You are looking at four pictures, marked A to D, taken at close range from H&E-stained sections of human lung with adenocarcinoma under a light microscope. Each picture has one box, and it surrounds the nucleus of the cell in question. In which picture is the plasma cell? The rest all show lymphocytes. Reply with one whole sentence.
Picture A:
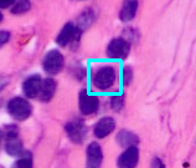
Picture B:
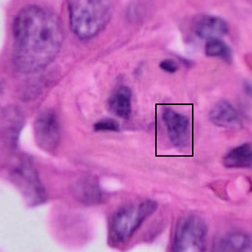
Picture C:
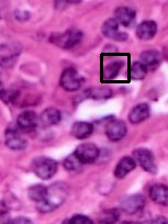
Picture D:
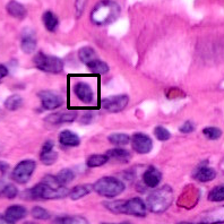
The picture with the plasma cell is B.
